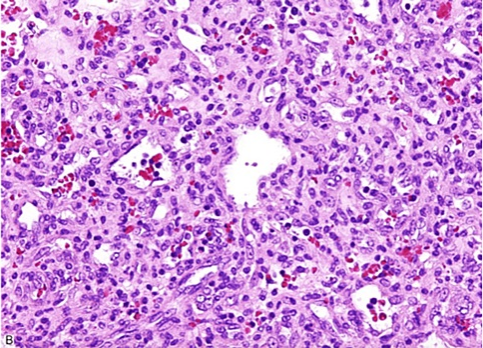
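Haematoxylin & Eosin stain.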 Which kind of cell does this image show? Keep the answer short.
Endothelial cells.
